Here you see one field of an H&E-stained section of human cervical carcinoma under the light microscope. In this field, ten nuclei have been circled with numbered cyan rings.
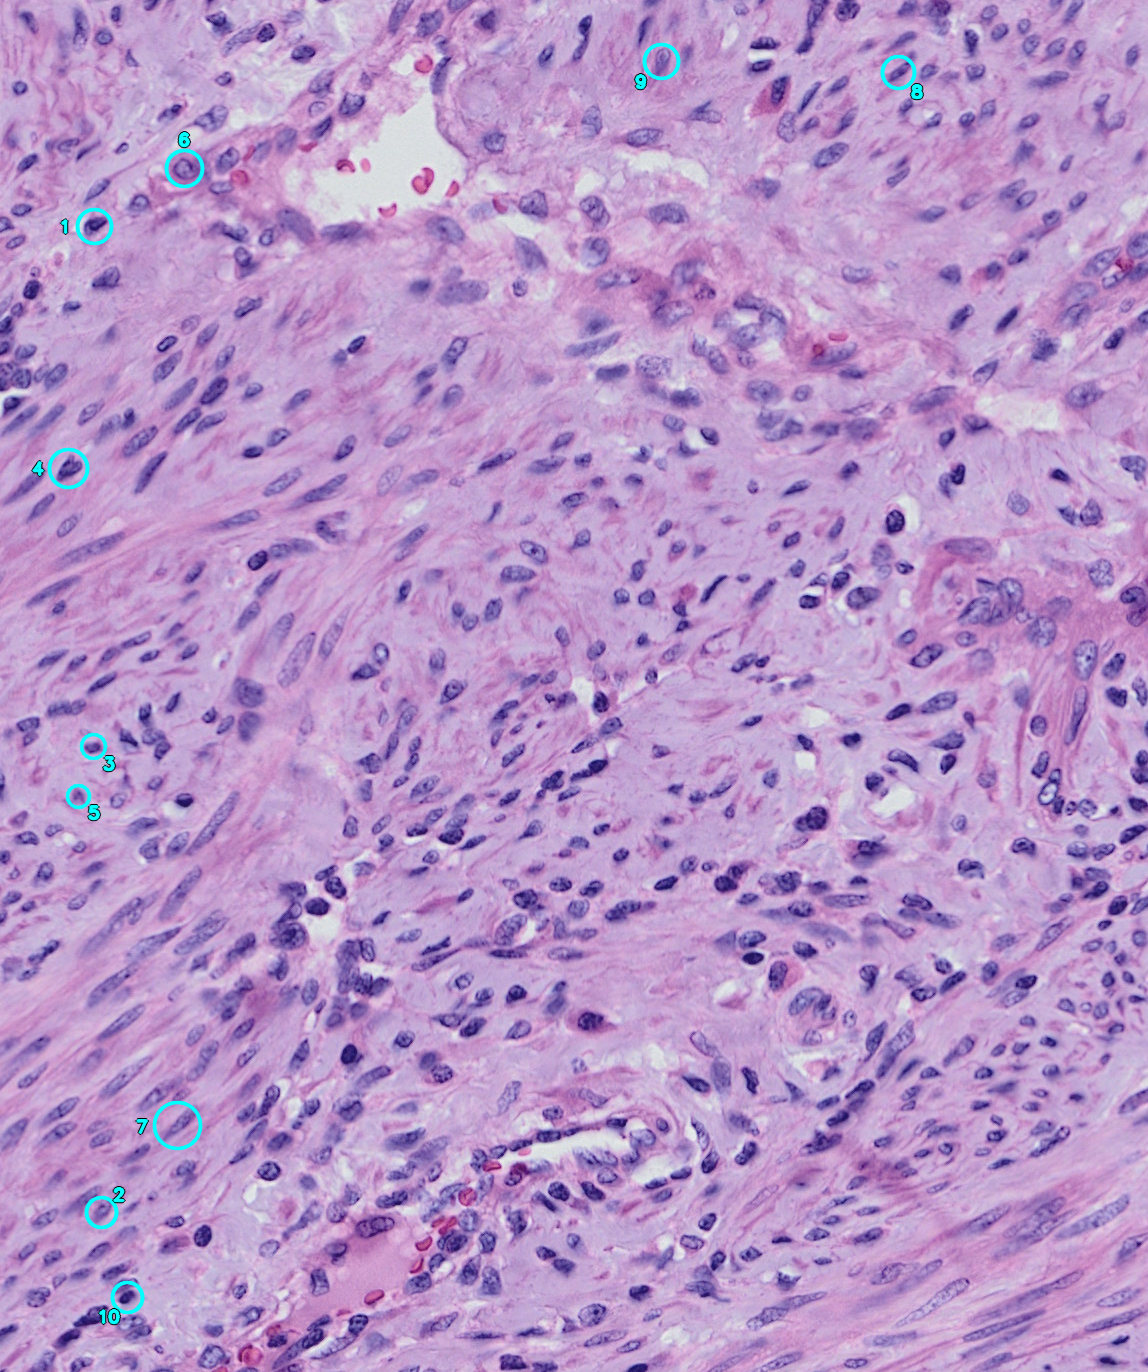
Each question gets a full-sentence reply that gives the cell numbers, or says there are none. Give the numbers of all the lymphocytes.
When it comes to cells 1, 4 and 10, they are lymphocytes.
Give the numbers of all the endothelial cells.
Cell 6 is an endothelial cell, while every other numbered cell is not.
